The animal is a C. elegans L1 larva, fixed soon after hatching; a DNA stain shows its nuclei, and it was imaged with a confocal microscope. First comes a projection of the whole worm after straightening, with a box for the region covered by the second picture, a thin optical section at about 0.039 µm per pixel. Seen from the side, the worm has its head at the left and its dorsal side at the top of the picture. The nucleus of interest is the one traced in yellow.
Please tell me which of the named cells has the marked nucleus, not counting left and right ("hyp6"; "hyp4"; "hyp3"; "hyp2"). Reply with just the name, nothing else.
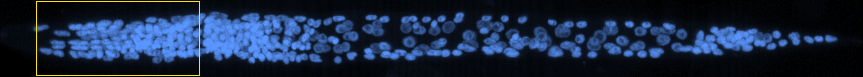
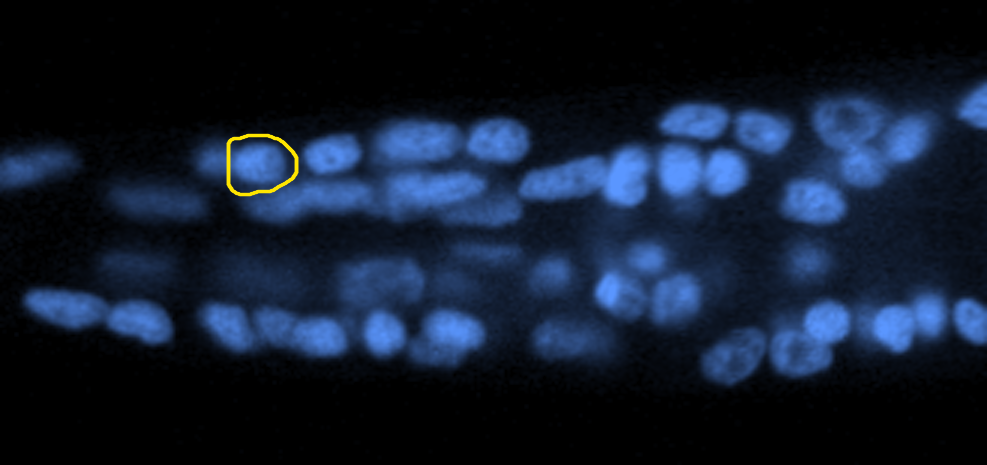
hyp3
